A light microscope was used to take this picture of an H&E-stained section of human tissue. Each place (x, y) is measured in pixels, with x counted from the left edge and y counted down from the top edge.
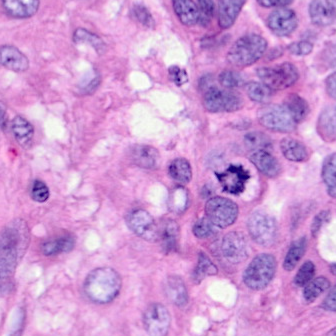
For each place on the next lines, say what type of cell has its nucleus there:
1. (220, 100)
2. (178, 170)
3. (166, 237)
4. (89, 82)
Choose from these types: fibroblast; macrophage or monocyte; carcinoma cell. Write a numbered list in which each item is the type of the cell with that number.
1. carcinoma cell
2. macrophage or monocyte
3. fibroblast
4. fibroblast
